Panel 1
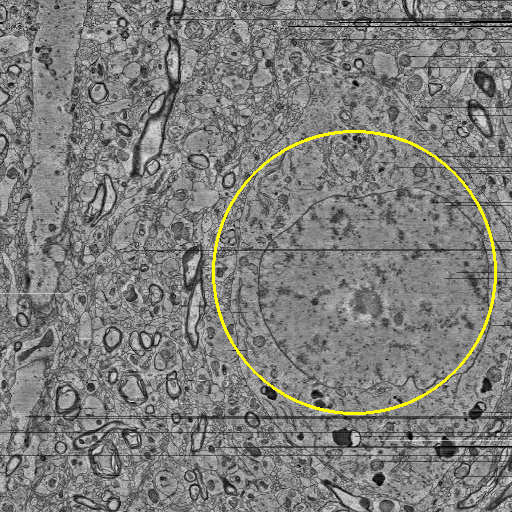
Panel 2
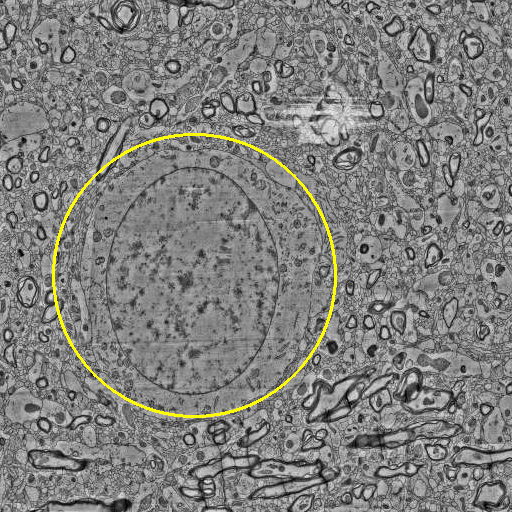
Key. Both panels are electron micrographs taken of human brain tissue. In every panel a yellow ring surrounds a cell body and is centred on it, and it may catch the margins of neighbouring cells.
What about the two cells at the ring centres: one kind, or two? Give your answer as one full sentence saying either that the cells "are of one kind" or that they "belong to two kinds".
Across Panels 1 and 2, the two cells at the ring centres are of one kind.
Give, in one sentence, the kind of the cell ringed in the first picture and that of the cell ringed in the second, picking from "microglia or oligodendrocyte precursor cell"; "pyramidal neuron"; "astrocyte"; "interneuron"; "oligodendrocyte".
In both pictures the ring is centred on a pyramidal neuron.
